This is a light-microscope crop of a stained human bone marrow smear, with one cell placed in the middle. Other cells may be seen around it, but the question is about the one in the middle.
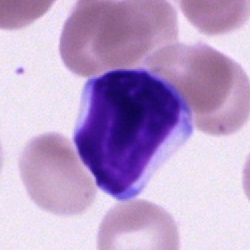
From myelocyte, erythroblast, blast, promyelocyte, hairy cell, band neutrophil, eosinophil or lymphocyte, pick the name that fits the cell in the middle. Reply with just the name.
lymphocyte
